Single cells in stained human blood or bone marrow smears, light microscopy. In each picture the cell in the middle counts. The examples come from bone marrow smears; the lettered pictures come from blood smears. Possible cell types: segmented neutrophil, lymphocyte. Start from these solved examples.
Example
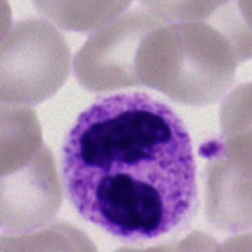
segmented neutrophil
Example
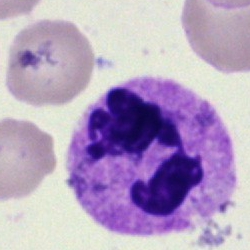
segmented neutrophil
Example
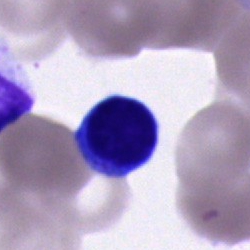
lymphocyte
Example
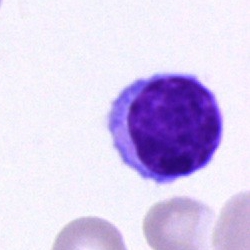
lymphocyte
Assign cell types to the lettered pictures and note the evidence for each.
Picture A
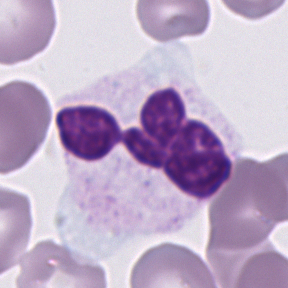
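Answer: segmented neutrophil. The nucleus is split into four lobes joined together.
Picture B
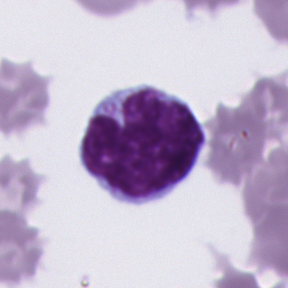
Answer: lymphocyte. The cytoplasm is a scant, pale bluish rim around the nucleus.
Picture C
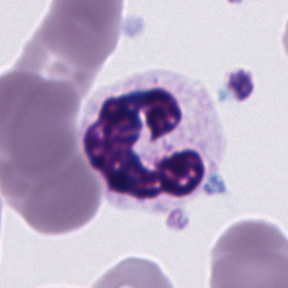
Answer: segmented neutrophil. The nucleus is divided into separate lobes.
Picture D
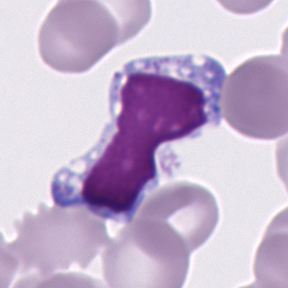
Answer: lymphocyte. The cytoplasm forms a narrow rim that is widest at the top of the cell.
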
